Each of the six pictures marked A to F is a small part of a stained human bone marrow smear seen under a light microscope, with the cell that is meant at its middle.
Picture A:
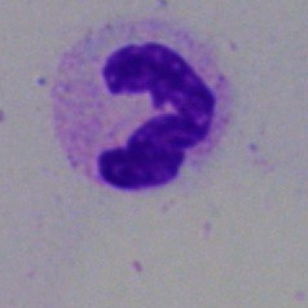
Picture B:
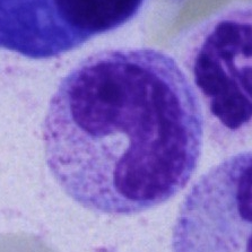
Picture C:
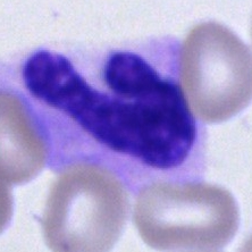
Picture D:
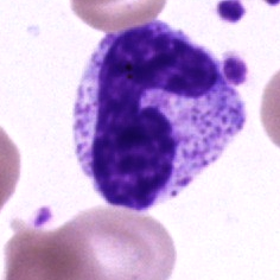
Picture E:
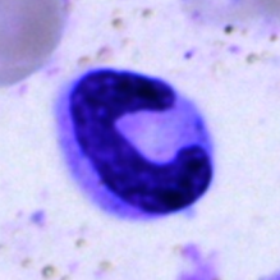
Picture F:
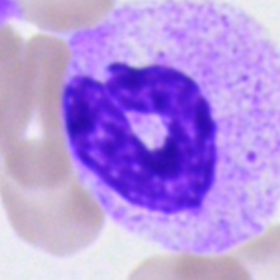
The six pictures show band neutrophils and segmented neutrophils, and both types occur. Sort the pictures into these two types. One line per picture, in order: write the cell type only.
segmented neutrophil
band neutrophil
band neutrophil
band neutrophil
band neutrophil
segmented neutrophil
